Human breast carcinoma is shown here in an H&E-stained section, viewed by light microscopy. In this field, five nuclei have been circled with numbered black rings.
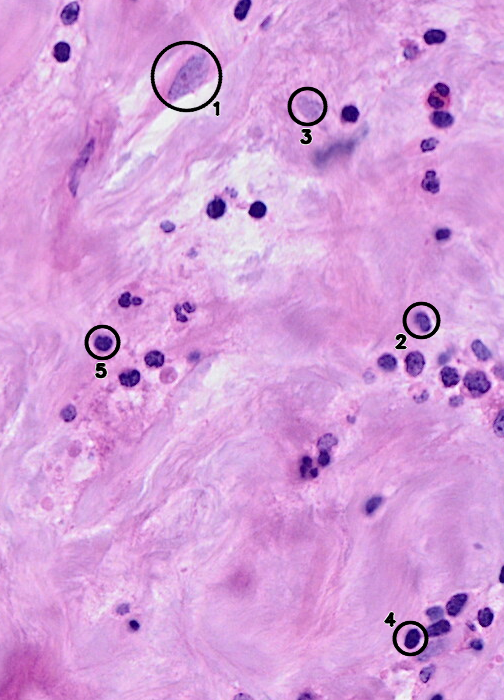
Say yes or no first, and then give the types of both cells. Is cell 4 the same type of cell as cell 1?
No, cell 4 is a lymphocyte, and cell 1 is, by contrast, a fibroblast.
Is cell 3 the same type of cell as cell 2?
No, the cell tagged 3 is a fibroblast, whereas the cell tagged 2 is a lymphocyte.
